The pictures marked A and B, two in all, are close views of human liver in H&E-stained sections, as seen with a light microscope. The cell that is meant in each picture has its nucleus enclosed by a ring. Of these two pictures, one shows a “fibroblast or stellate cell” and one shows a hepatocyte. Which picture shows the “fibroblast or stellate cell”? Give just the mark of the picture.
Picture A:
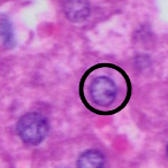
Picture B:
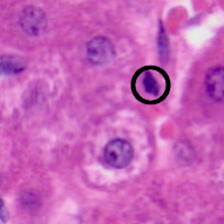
B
